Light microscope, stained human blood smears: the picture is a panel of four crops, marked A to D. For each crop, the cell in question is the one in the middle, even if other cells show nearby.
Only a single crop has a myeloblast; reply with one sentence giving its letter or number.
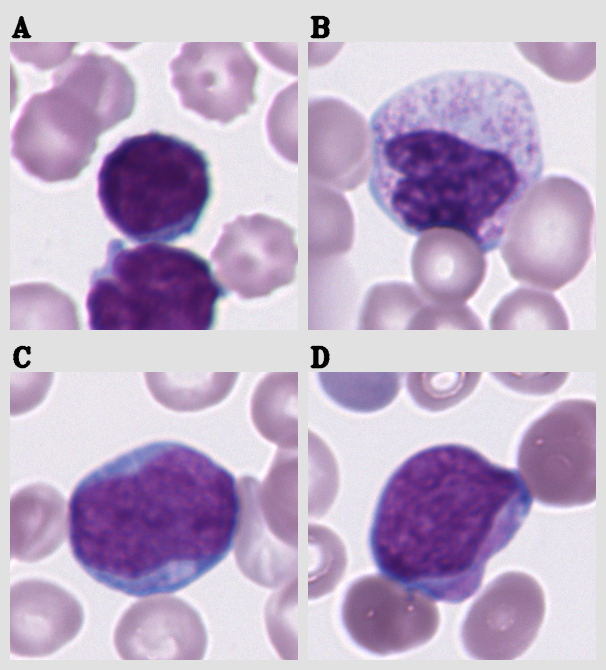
Only in crop C is a myeloblast shown.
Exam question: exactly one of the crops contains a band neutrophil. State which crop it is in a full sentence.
Crop B is the crop whose central cell is a band neutrophil.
